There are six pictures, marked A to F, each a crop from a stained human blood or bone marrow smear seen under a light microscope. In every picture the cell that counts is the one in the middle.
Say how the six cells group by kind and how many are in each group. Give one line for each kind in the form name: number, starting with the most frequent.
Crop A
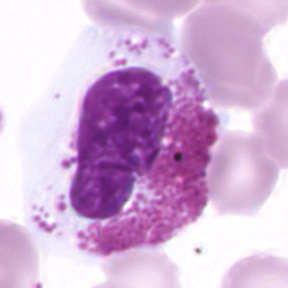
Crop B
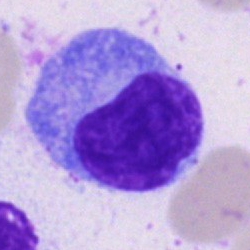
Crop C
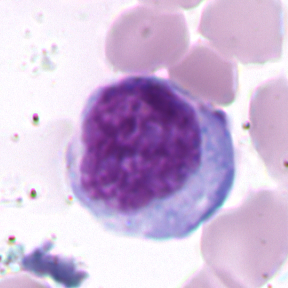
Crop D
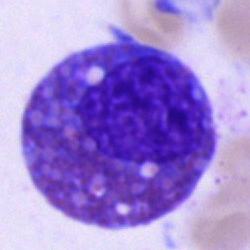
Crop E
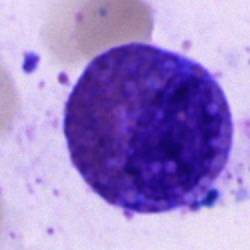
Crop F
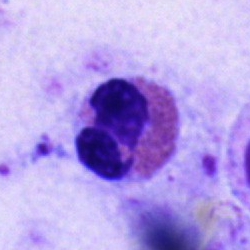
eosinophil: 4
plasma cell: 2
